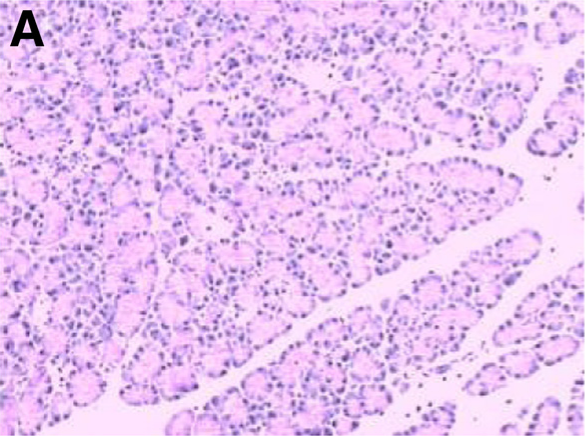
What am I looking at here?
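This is glandular tissue of the pancreas, filling the field with closely packed, rounded acinar units. Each unit is made of cells with purple, round nuclei lying toward the base and pale pink cytoplasm toward the center. The units are grouped into lobules separated by narrow, clear septa that run diagonally across the field. Between the units there is little loose tissue and few scattered cells. No areas of pink blood or pale, broken-up tissue are seen; the glandular arrangement looks orderly throughout.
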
